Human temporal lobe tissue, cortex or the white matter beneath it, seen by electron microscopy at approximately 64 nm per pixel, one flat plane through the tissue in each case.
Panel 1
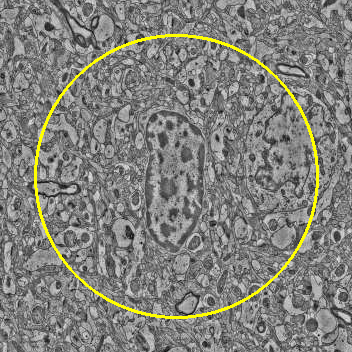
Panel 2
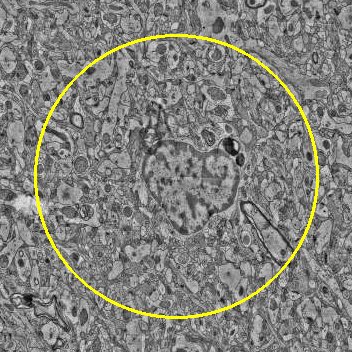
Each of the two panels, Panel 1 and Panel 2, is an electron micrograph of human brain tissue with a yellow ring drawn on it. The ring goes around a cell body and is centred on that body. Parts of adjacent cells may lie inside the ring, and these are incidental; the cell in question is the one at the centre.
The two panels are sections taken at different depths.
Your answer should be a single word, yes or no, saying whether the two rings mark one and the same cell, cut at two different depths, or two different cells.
no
